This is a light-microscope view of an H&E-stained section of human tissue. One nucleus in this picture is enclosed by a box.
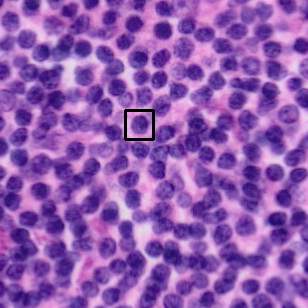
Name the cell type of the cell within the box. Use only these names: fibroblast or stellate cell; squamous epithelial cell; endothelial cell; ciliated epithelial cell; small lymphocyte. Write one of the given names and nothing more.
small lymphocyte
